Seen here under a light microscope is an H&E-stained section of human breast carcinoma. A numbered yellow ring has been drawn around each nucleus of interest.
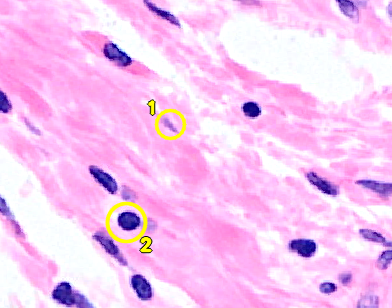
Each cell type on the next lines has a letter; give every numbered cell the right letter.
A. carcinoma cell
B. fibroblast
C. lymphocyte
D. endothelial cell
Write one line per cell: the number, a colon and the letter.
1: B
2: C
